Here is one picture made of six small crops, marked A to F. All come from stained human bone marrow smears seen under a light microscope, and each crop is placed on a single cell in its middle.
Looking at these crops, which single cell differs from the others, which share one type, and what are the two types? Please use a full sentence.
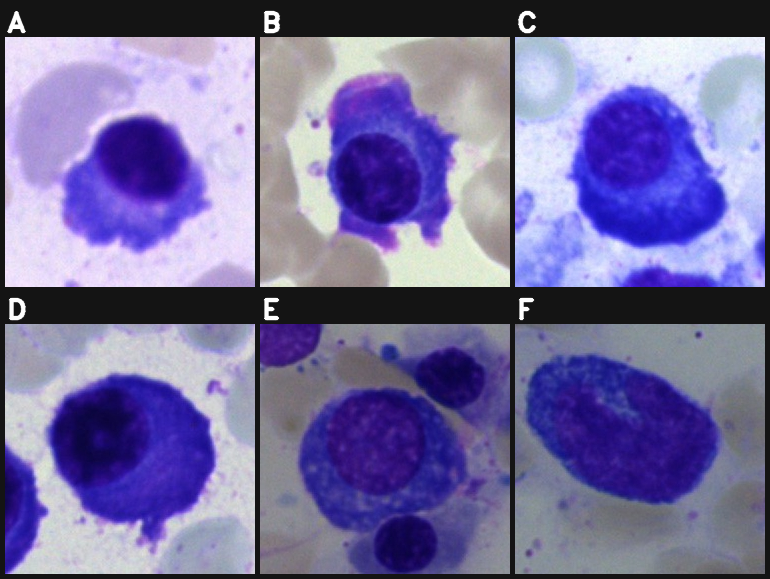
Unlike the rest, which all show plasma cells, crop F contains a promyelocyte.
